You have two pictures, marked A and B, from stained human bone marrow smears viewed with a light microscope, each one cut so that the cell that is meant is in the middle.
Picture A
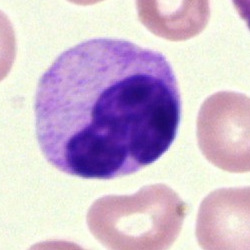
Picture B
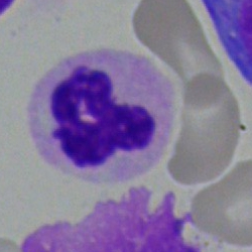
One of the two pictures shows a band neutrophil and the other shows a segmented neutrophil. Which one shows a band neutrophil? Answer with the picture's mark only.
A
